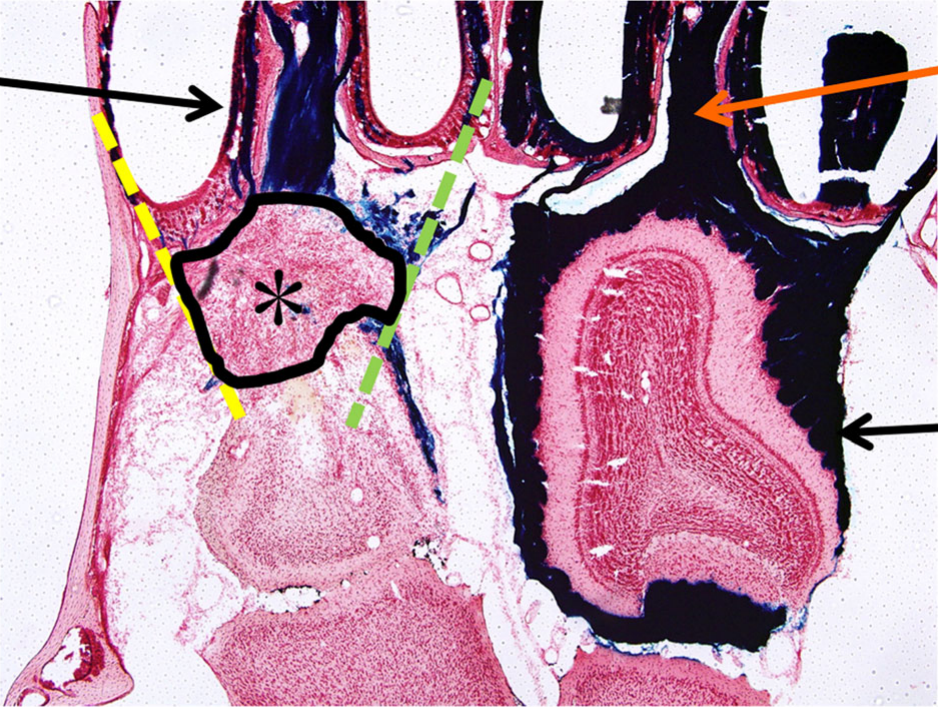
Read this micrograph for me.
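Across the front, thin pink scrolls of bone and mucosa bound the air spaces of the nasal cavity. Behind them lie two rounded pink brain structures, the olfactory bulbs. The right bulb is ringed by a thick, lumpy, dark blue band of olfactory nerve that runs in from the nasal cavity and caps the surface glomerular layer. Inside it, the pink tissue forms neat concentric layers. The left bulb lacks this blue ring and looks smaller and less ordered. In front of it, a loose, disorganised pink mass fills the space between the nasal cavity and the bulb, with only scattered blue strands.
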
